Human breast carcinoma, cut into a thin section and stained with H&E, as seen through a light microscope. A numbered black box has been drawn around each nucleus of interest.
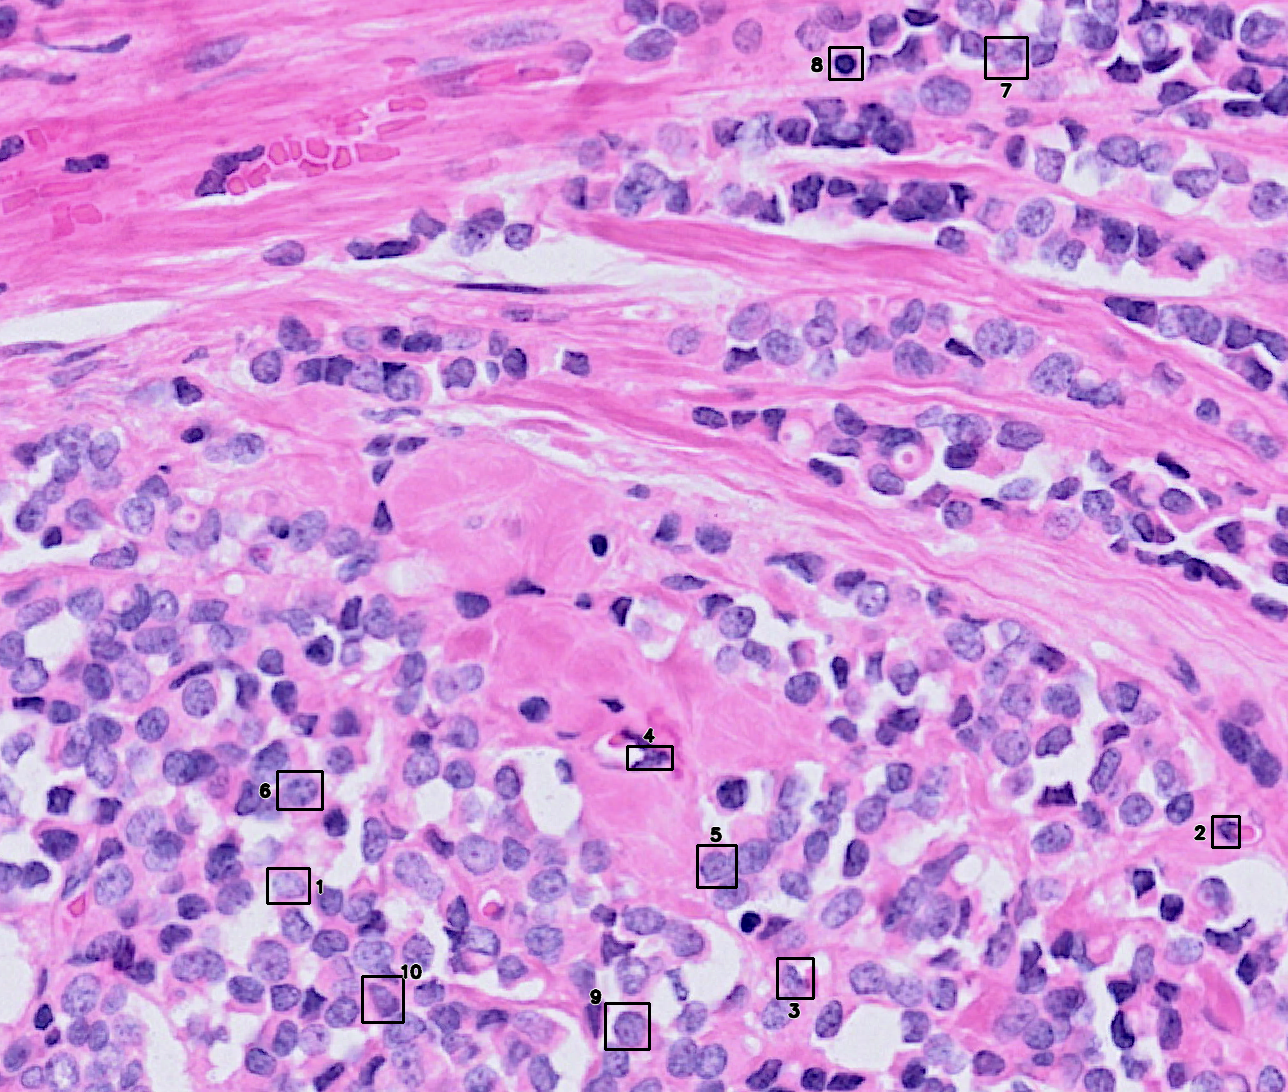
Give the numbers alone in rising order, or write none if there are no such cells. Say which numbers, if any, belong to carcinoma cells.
1, 5, 6, 7, 9, 10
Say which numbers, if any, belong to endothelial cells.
2, 3, 4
